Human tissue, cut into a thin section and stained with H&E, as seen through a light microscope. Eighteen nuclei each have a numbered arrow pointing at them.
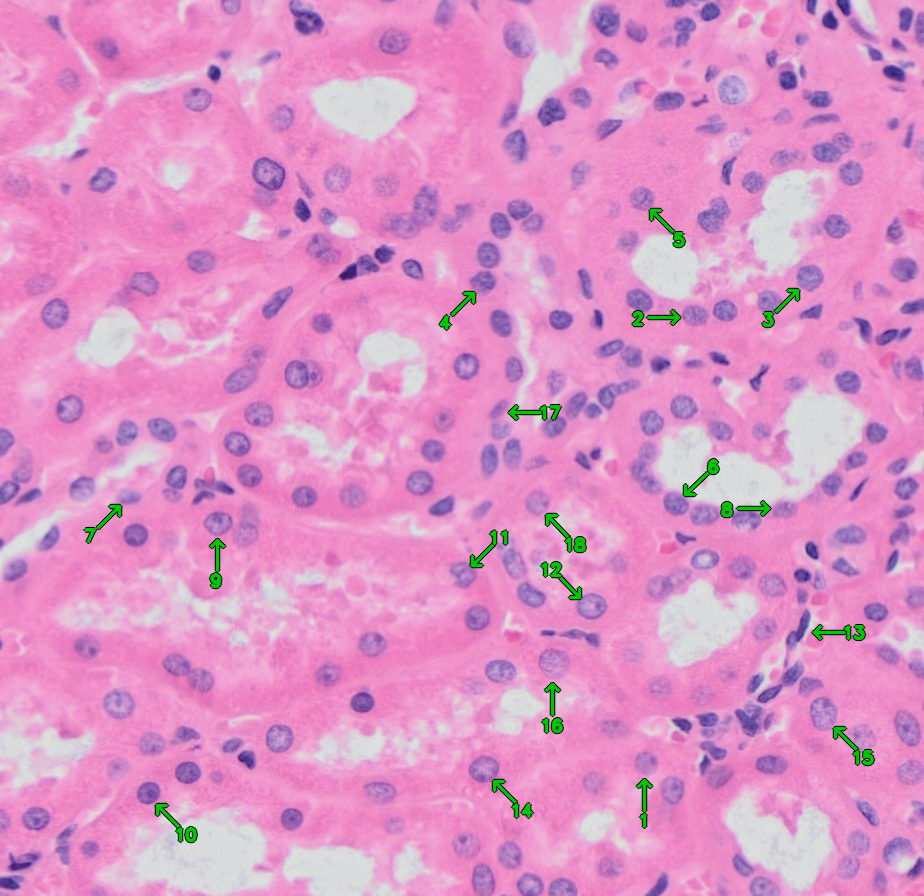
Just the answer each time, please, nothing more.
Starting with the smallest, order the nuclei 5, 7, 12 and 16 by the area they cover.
7, 5, 12, 16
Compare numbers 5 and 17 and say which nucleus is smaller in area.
17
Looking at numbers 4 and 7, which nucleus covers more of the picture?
4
